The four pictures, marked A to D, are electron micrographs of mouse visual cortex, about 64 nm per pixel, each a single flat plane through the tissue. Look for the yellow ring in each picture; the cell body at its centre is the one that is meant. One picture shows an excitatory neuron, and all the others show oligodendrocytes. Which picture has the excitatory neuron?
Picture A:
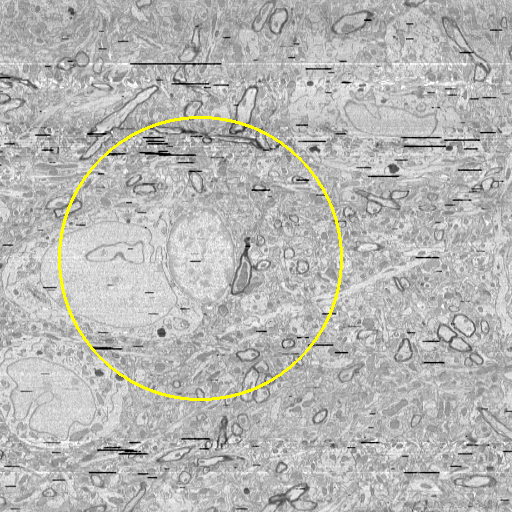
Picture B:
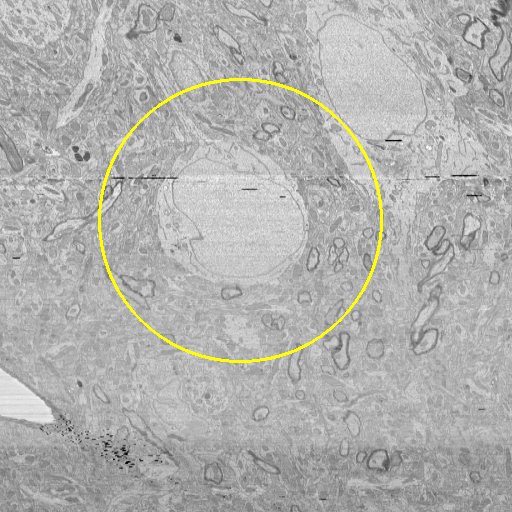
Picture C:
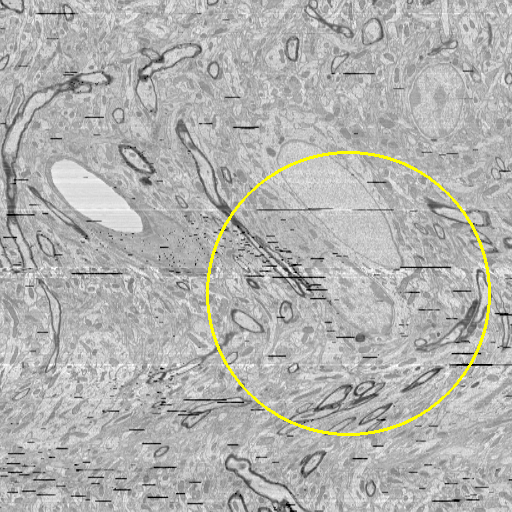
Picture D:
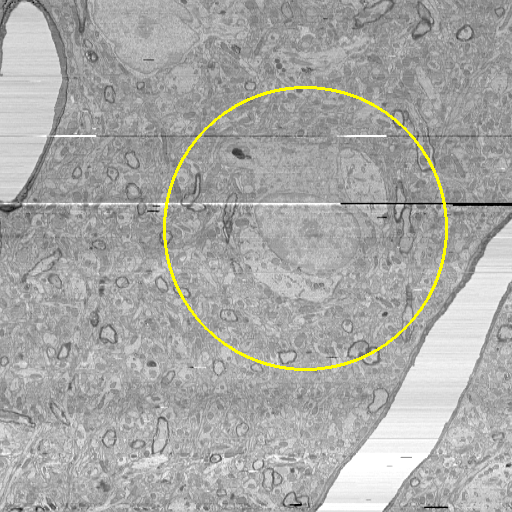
The excitatory neuron is the one in picture B.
